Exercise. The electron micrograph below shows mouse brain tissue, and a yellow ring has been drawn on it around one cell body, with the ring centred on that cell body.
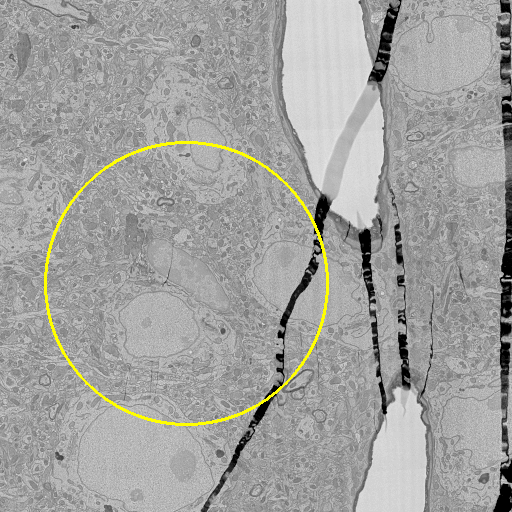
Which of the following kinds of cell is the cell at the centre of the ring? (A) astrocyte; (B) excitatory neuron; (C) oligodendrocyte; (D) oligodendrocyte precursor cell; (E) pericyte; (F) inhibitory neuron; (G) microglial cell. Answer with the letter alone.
G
